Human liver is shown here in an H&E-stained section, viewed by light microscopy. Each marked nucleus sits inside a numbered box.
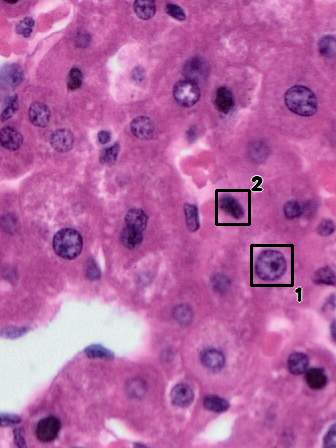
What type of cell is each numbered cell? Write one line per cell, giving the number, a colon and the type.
1: hepatocyte
2: fibroblast or stellate cell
